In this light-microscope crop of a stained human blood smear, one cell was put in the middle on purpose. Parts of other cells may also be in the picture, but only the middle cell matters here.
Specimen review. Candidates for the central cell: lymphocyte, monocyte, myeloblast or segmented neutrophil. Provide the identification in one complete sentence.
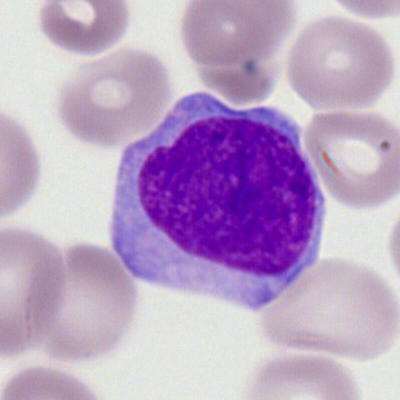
The cell at the heart of this crop is a myeloblast.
